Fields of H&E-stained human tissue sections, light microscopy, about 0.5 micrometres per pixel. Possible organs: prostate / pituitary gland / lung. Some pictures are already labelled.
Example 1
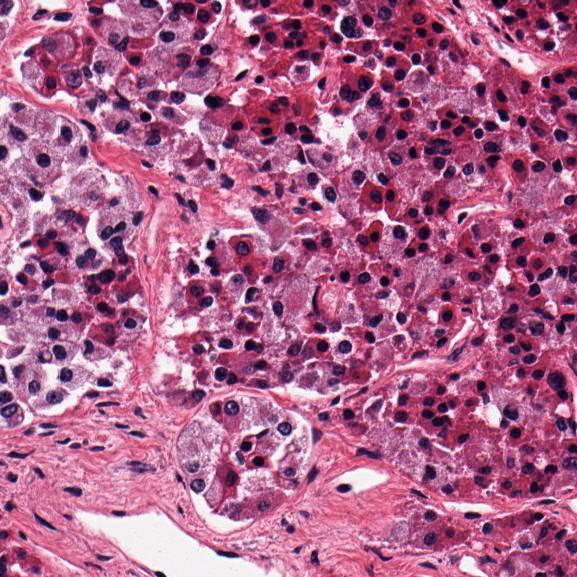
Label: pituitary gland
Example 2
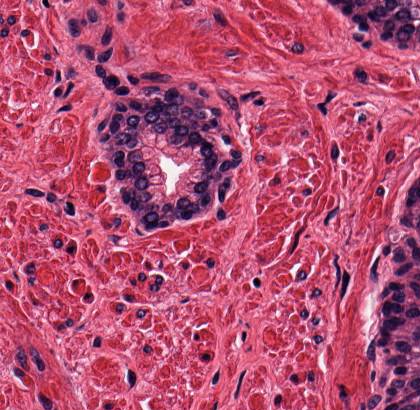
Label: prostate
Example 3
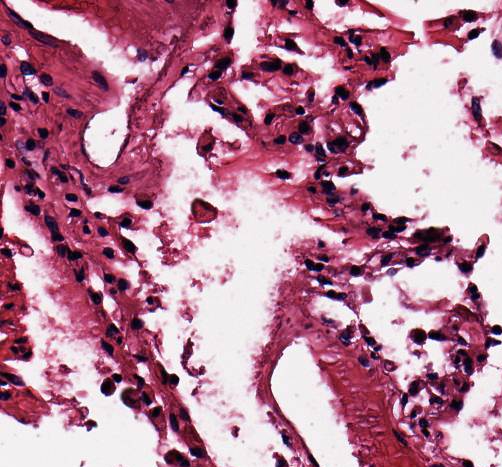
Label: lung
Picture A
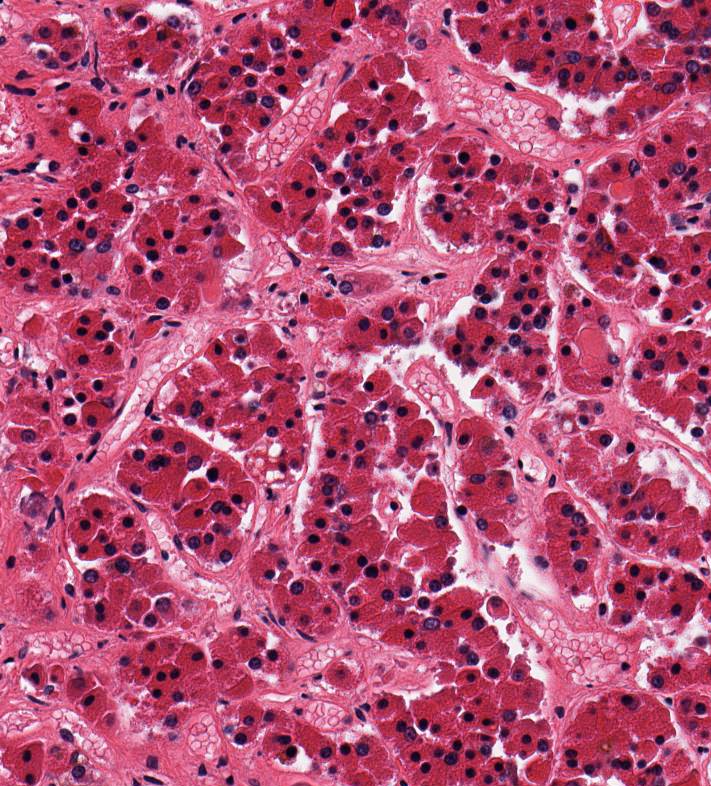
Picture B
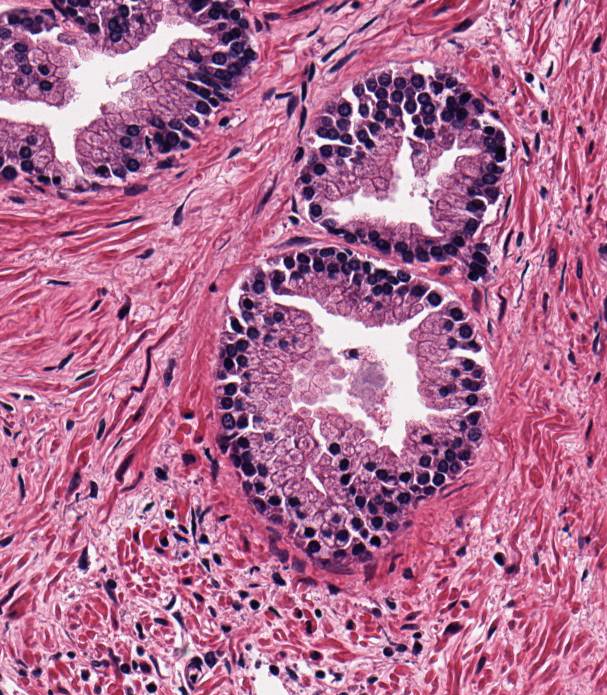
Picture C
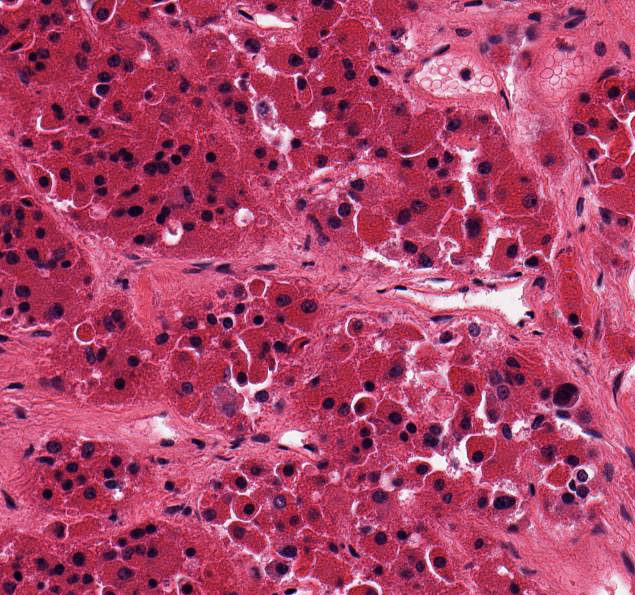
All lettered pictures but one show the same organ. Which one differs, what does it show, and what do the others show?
Different: B, prostate. Others: pituitary gland.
